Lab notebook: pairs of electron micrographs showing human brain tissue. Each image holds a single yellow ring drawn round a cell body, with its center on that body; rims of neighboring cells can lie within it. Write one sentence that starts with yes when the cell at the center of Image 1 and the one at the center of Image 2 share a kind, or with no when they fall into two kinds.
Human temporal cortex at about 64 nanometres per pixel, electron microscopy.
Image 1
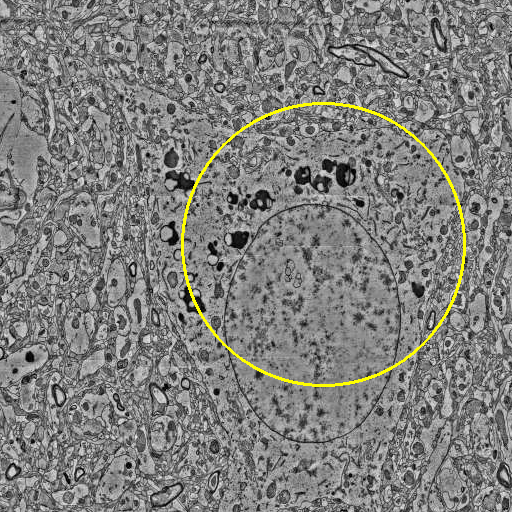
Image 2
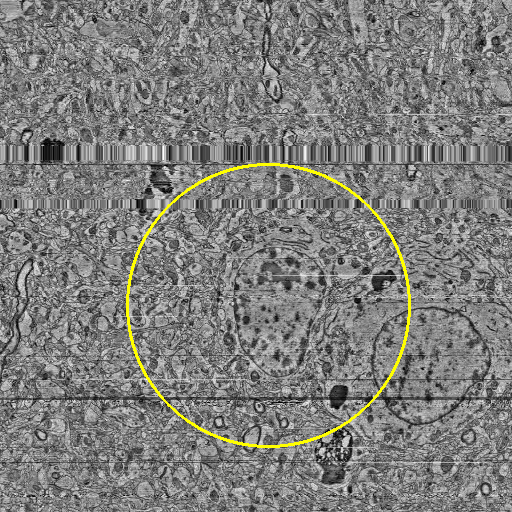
No, the centered cell in Image 1 and the centered cell in Image 2 are of two kinds.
